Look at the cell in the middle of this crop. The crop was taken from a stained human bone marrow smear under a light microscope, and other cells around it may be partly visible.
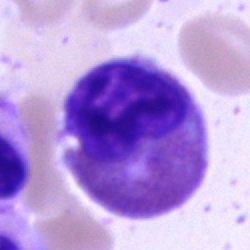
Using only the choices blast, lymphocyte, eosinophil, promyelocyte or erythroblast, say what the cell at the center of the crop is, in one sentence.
In the middle of this smear crop, the cell is an eosinophil.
